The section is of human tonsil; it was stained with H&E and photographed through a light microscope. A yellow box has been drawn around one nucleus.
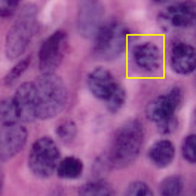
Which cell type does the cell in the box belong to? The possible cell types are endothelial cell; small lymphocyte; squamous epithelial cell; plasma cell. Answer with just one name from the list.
plasma cell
